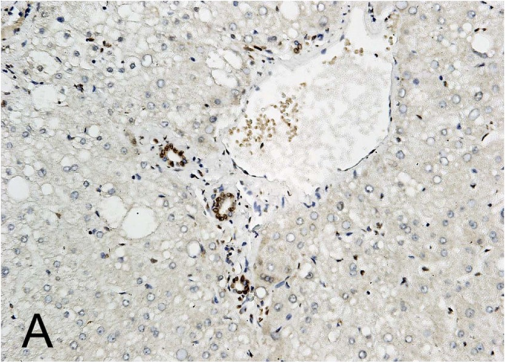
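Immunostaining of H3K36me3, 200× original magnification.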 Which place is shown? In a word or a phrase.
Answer: Portal area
